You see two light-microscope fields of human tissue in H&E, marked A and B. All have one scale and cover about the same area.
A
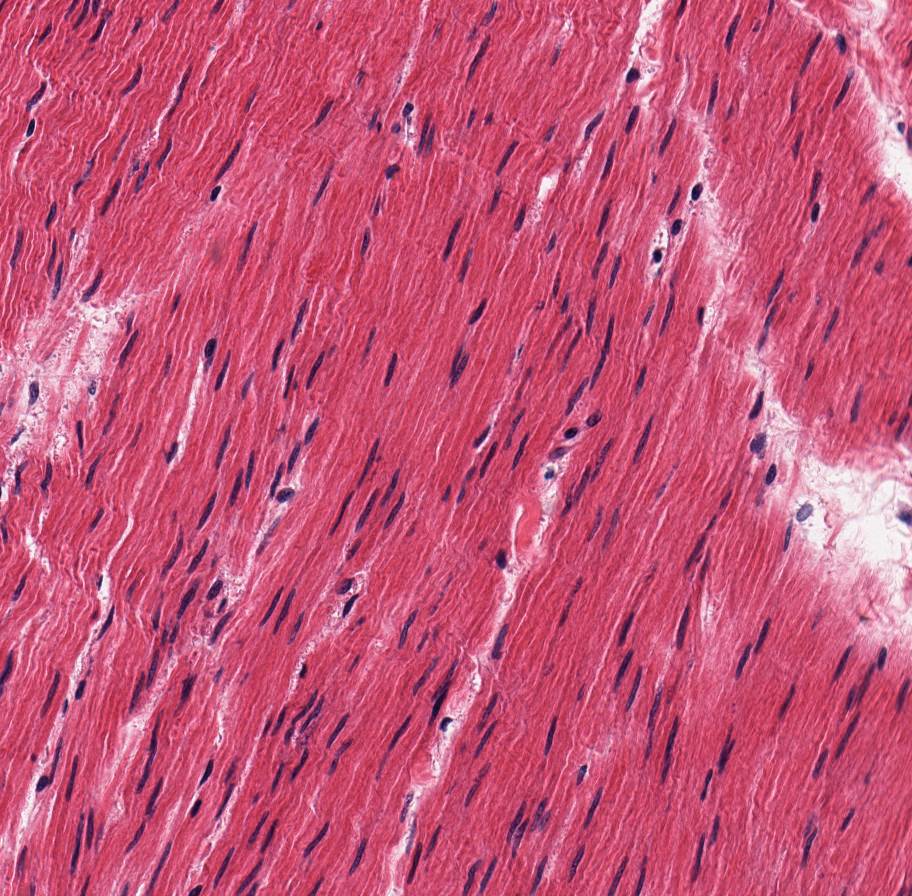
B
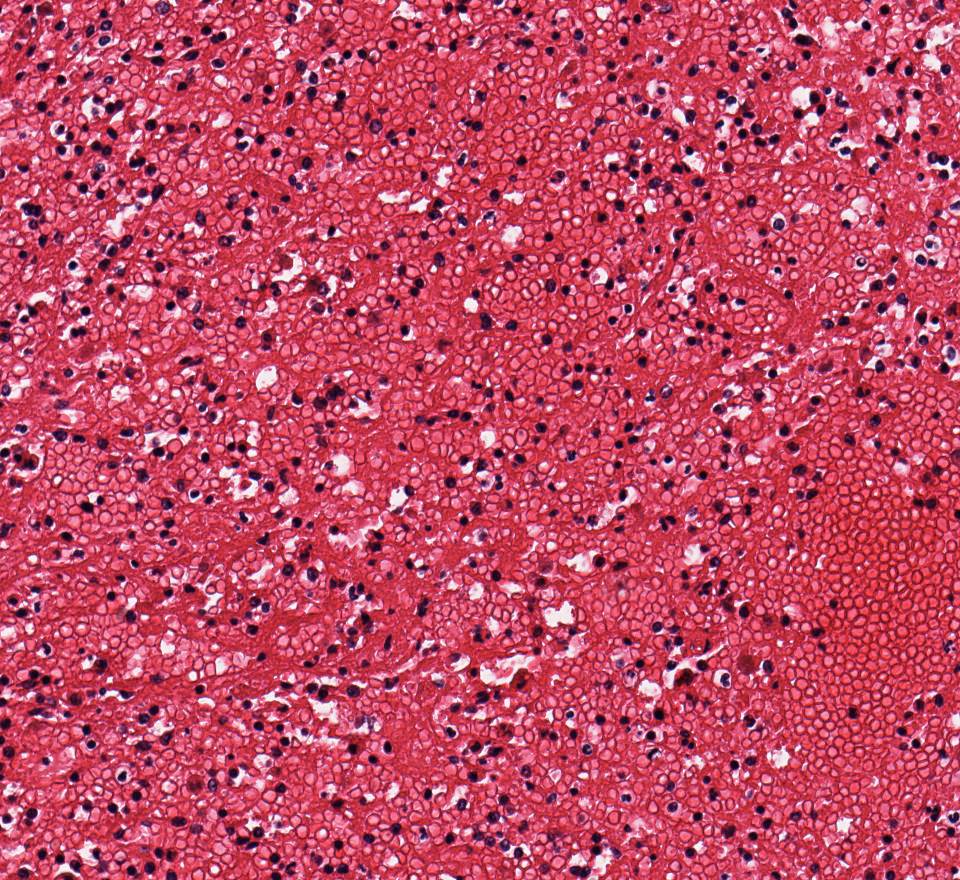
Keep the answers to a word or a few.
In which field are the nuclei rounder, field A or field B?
B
